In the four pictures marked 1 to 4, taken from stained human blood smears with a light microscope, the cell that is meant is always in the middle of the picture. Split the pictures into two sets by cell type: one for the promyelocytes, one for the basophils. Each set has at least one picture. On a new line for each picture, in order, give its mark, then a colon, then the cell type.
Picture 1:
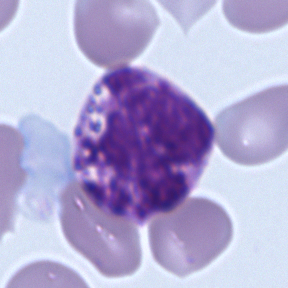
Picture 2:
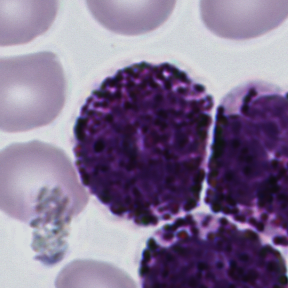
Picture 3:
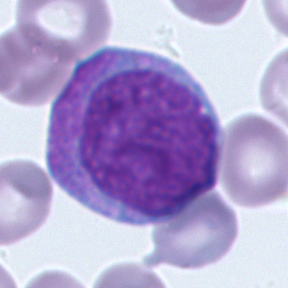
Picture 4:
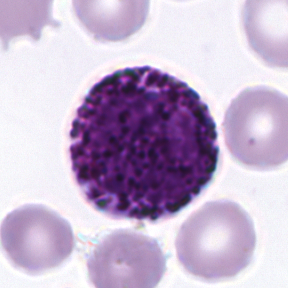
1: basophil
2: basophil
3: promyelocyte
4: basophil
